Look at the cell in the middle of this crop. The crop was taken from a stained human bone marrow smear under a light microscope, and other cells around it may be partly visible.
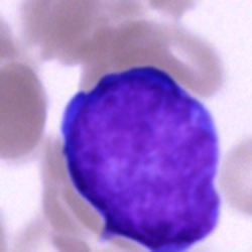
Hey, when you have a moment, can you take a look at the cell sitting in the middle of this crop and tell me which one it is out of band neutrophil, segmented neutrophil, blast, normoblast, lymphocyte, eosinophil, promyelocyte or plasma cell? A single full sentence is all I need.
What the crop centres on is a blast.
